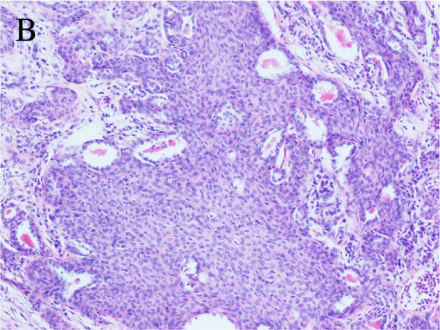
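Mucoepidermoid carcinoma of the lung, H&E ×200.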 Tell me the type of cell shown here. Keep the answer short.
Intermediate cells.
